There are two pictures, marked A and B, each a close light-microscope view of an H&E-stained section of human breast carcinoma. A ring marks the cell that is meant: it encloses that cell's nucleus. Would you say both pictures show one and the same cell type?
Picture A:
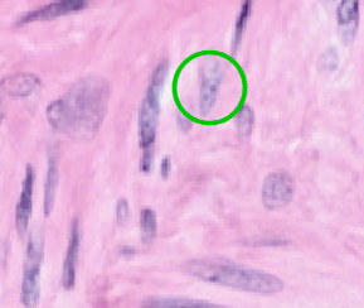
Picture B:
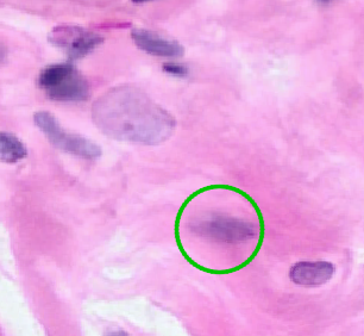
no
